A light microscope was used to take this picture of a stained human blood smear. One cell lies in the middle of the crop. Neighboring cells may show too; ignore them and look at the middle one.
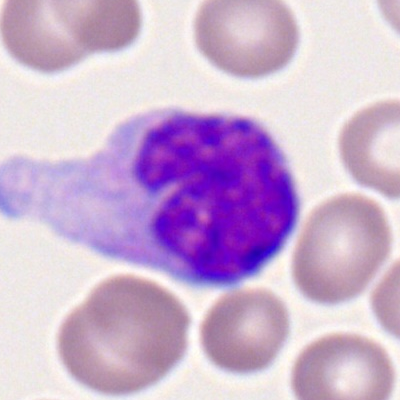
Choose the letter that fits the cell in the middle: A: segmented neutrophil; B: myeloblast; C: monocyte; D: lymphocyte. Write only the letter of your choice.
C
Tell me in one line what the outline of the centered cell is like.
Projections or ragged segments give this cell an irregular rather than smooth border.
